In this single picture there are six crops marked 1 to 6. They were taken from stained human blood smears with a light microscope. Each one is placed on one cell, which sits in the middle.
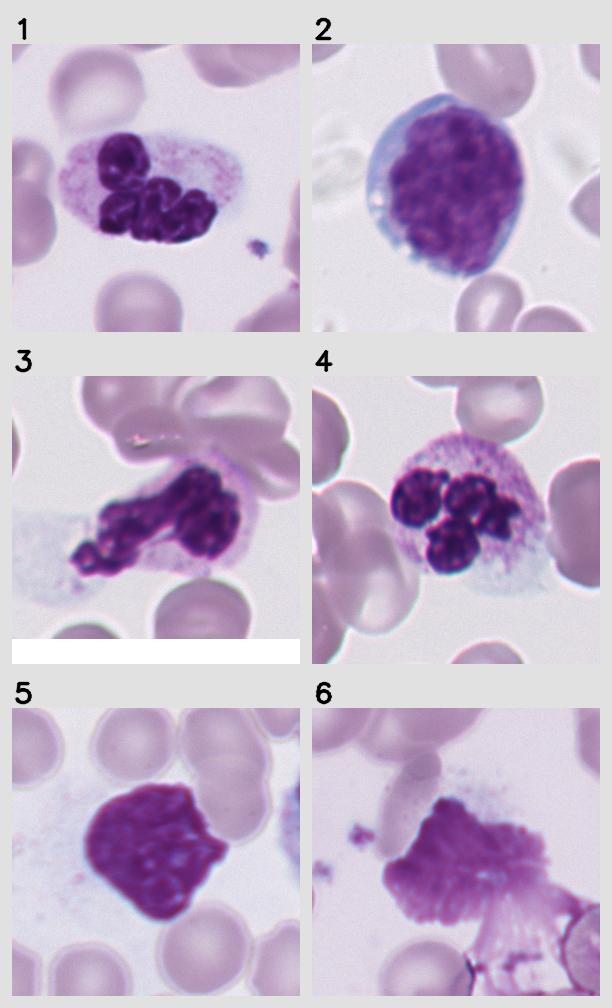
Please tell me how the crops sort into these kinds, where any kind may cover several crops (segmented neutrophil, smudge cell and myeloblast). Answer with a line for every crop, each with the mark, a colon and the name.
1: segmented neutrophil
2: myeloblast
3: segmented neutrophil
4: segmented neutrophil
5: smudge cell
6: smudge cell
